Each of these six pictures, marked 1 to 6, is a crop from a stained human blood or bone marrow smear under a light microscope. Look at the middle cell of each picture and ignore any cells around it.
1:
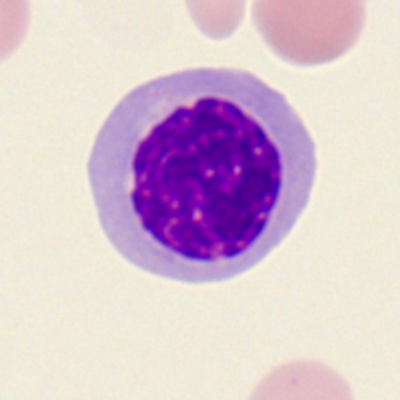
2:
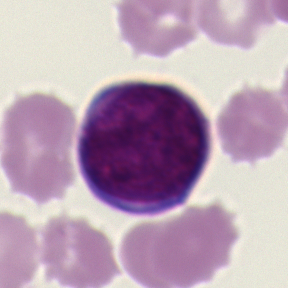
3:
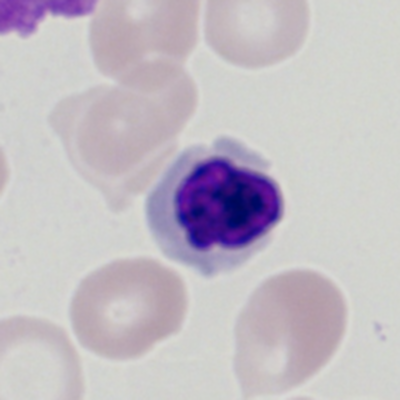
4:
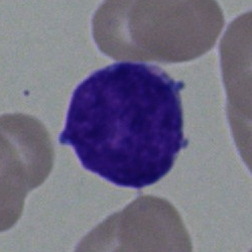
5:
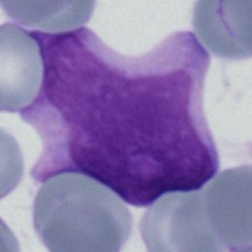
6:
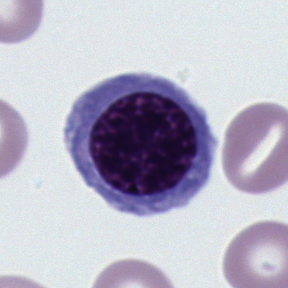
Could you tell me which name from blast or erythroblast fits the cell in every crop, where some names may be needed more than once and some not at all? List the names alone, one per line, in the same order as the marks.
erythroblast
blast
erythroblast
blast
blast
erythroblast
